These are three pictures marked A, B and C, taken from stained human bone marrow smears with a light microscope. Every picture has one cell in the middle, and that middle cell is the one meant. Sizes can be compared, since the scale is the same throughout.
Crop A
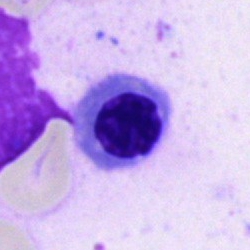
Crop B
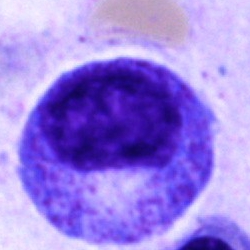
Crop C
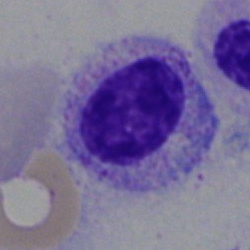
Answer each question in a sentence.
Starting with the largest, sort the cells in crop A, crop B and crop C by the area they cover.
Largest first: B, C, A.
